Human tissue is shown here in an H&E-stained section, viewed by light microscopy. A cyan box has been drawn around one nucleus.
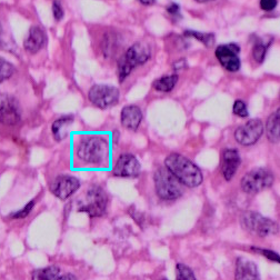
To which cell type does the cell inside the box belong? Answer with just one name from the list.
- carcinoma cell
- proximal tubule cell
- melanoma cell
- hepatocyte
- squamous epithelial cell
melanoma cell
